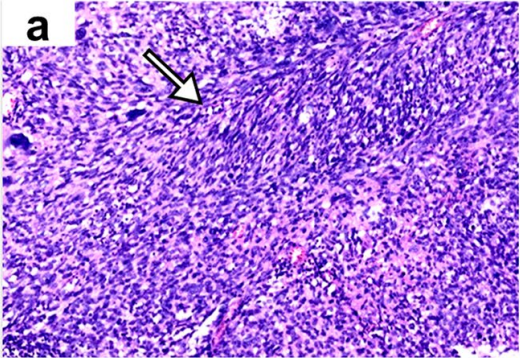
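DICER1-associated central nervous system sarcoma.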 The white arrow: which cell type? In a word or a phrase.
spindle-shaped cells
